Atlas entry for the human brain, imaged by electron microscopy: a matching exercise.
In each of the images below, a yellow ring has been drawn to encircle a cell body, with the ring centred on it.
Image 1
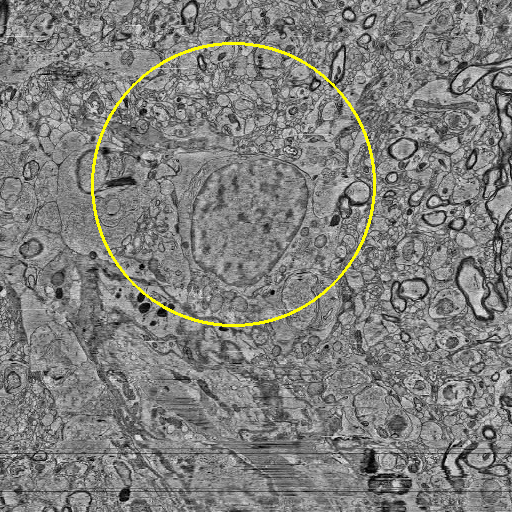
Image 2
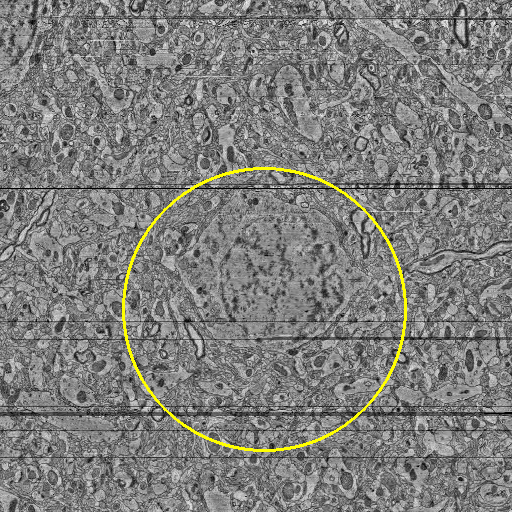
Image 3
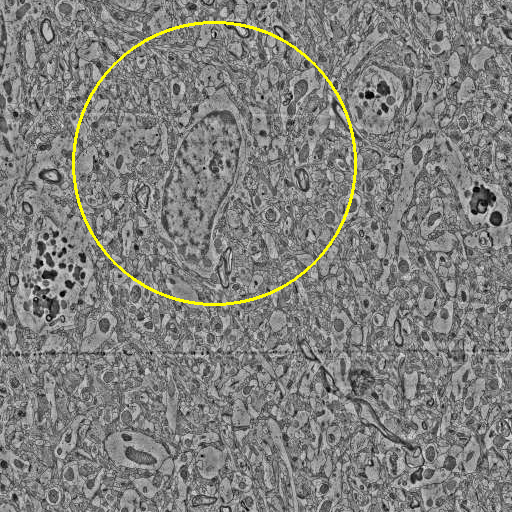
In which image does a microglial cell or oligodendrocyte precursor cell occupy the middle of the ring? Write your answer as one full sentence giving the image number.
In image 3, the ring is centred on the cell in question.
